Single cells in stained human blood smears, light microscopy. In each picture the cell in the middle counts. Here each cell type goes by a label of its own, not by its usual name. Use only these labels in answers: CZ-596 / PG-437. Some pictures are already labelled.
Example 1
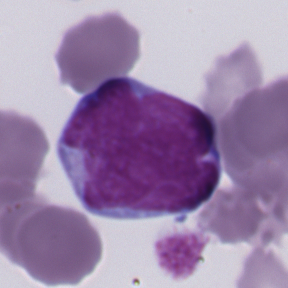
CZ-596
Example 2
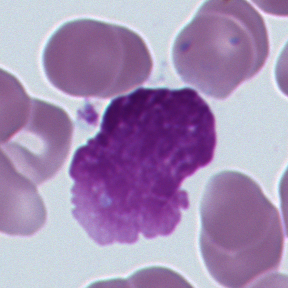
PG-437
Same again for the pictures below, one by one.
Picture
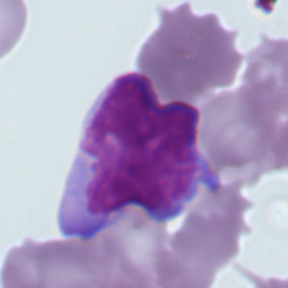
CZ-596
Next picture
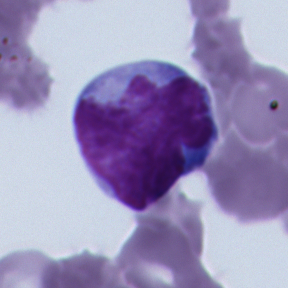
CZ-596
